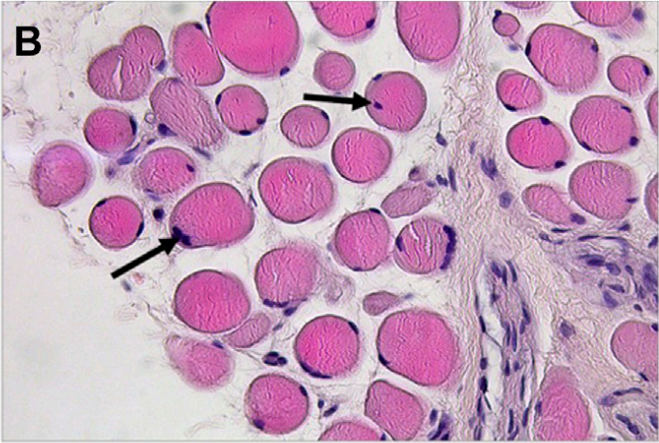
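Cross-sectioned skeletal muscle fibers appear as rounded pink profiles of varying size, separated by wide pale spaces containing loose fibrous tissue. Dark purple nuclei sit at or against the edge of the fibers, some appearing enlarged. A band of connective tissue with elongated nuclei runs between groups of fibers.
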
